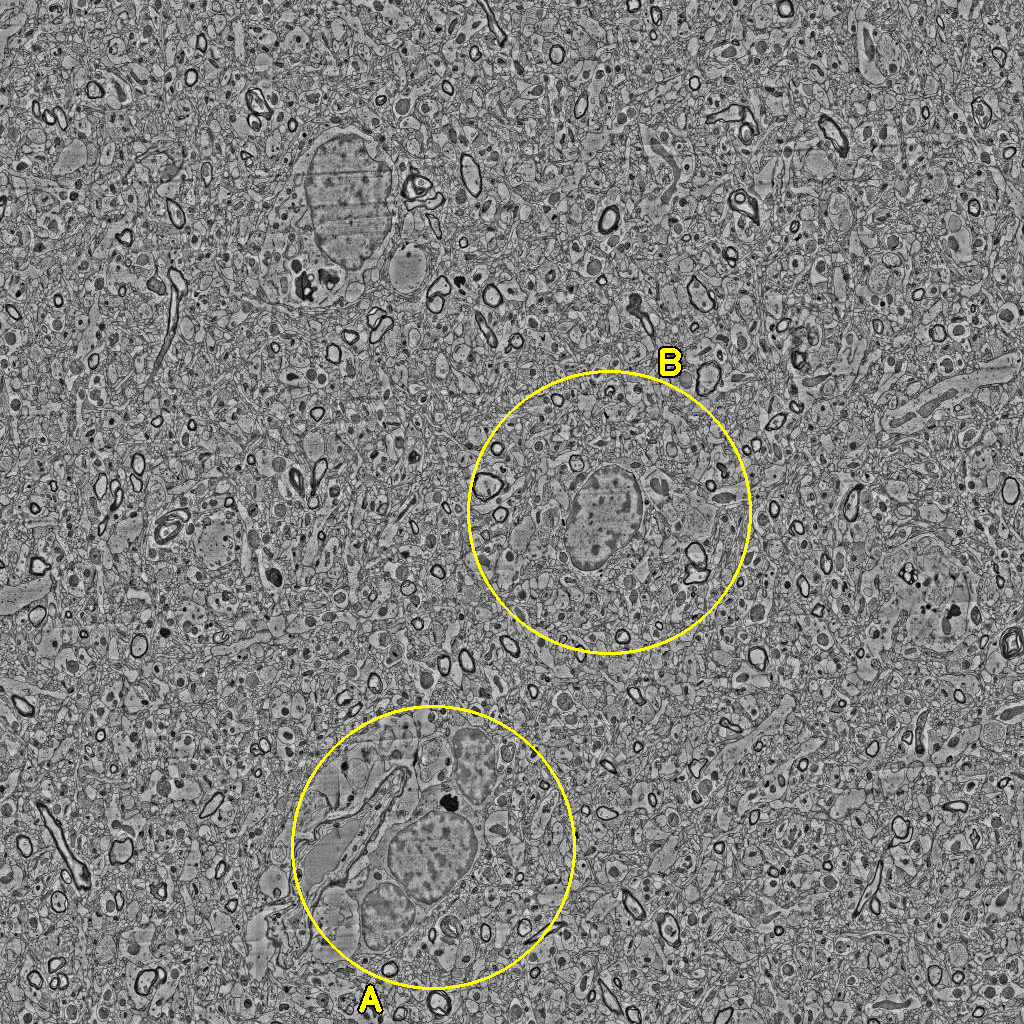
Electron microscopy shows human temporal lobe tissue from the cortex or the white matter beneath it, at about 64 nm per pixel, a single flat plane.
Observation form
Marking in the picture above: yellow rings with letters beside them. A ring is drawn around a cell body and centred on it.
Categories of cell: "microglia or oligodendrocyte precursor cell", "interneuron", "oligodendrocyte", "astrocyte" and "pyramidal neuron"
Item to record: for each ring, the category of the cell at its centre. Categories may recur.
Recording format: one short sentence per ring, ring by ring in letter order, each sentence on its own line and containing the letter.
Ring A is placed on an oligodendrocyte.
Ring B is placed on a microglial cell or oligodendrocyte precursor cell.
